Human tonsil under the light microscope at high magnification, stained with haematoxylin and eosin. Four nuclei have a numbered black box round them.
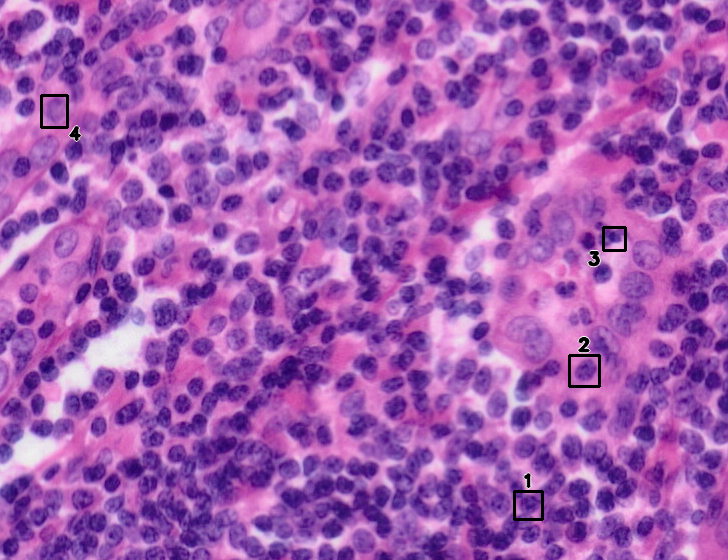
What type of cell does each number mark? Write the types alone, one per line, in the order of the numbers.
small lymphocyte
endothelial cell
endothelial cell
endothelial cell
